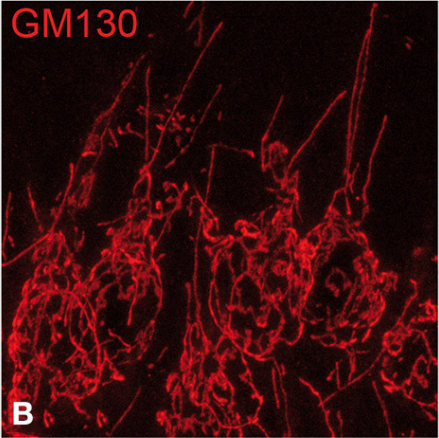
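Pyramidal neurons whose Golgi apparatus shows as a red network of interconnected tubular elements encircling a round, unlabelled nucleus. Long red strands extend from the apex of the cell bodies up into the apical dendrites. The cell bodies lie closely packed side by side in a row.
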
